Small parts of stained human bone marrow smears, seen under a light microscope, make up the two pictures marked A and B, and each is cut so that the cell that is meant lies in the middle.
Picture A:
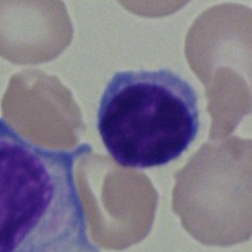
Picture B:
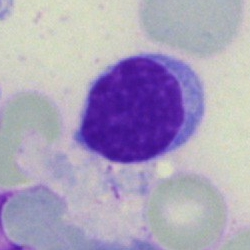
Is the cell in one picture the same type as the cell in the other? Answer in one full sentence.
Yes, both cells are lymphocytes.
